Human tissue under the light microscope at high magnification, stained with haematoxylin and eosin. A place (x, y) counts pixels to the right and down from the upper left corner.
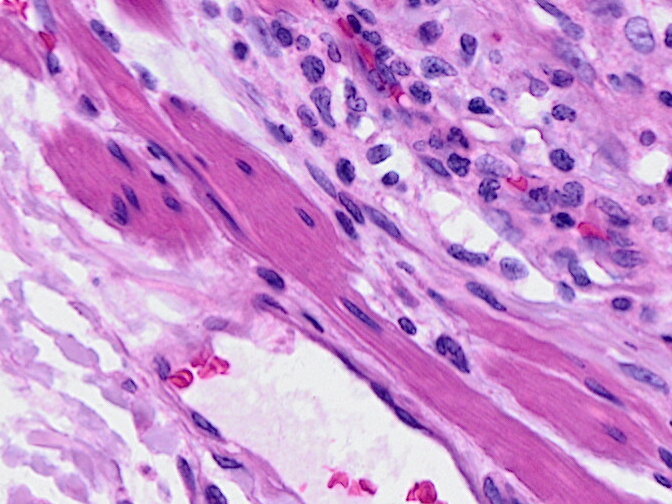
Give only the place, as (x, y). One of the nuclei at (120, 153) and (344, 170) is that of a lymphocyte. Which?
(344, 170)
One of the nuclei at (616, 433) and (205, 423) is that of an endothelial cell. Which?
(205, 423)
